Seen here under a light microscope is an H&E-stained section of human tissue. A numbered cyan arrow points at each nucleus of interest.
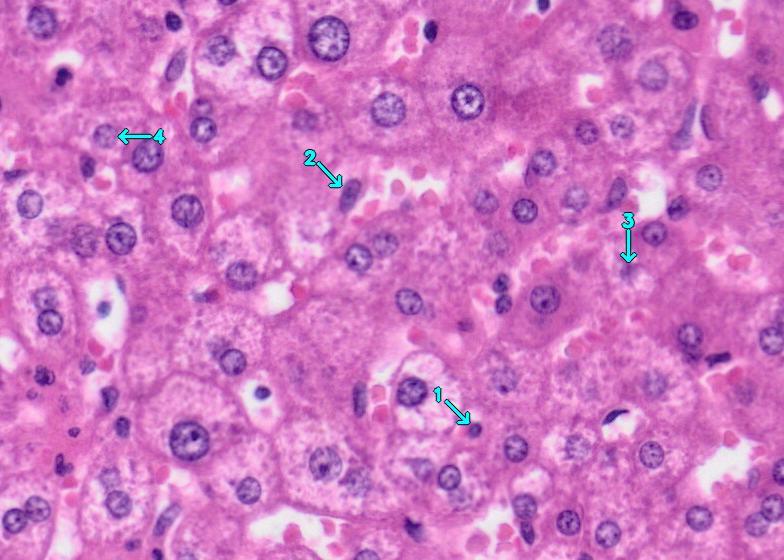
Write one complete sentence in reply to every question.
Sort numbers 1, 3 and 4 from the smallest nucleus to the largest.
By area, going up from the smallest, they rank 1, 3, 4.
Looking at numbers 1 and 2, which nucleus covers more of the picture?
Nucleus 2 is larger, with an area about 3 times that of nucleus 1.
